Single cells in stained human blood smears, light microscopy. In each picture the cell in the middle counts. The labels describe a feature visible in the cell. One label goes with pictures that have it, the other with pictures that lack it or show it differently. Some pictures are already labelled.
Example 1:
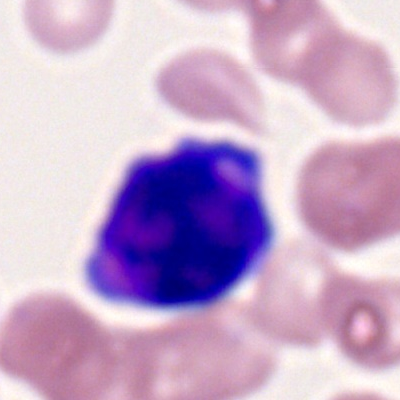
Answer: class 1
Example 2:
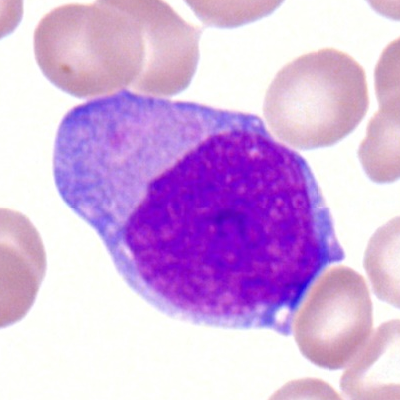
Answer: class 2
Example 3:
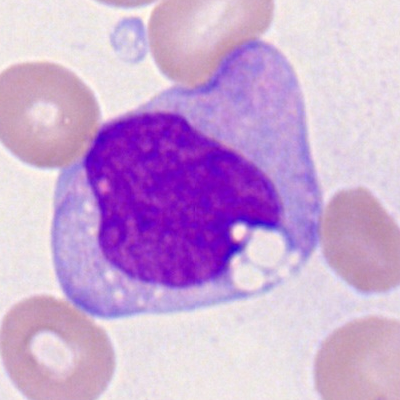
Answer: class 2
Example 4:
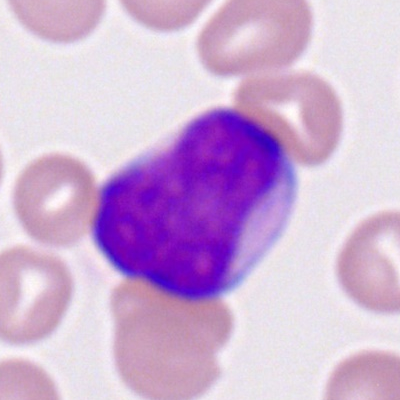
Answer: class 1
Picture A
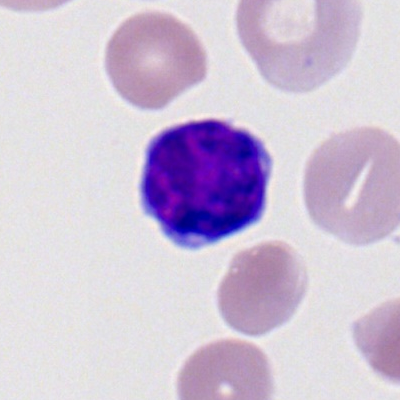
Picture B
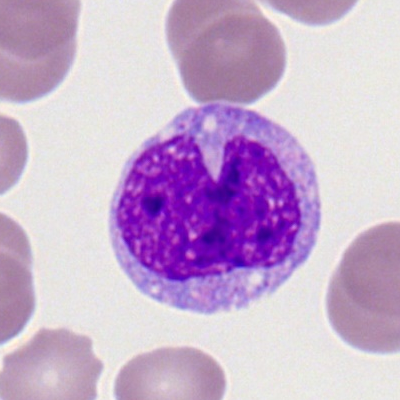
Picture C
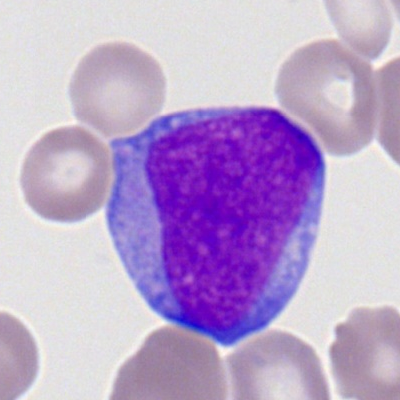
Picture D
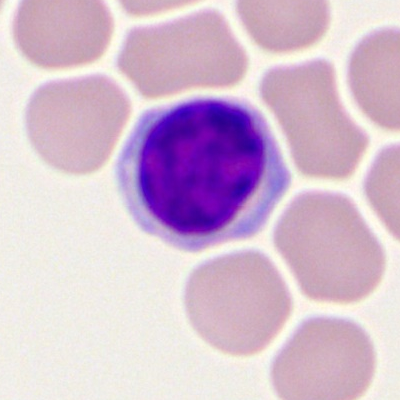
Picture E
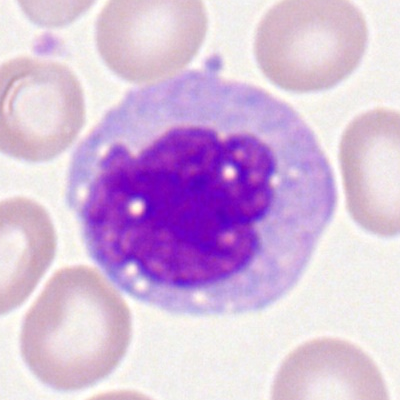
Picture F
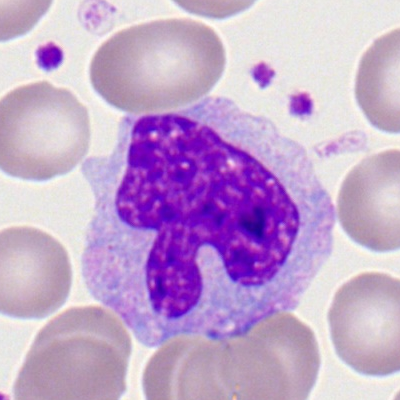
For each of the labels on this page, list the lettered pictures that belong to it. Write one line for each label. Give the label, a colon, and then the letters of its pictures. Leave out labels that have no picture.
class 1: A, B, C, D
class 2: E, F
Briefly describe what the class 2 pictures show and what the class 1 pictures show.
class 2, abundant cytoplasm; class 1, scant cytoplasm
